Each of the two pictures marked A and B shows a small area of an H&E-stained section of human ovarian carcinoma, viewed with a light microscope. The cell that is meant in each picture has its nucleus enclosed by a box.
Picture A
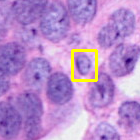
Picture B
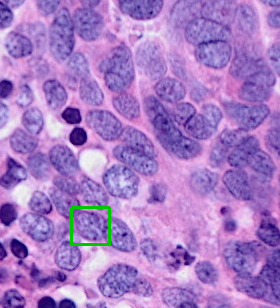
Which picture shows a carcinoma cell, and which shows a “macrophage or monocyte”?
A: macrophage or monocyte
B: carcinoma cell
